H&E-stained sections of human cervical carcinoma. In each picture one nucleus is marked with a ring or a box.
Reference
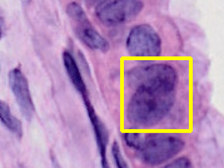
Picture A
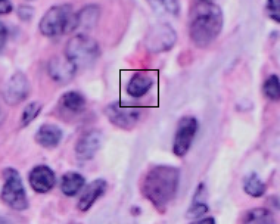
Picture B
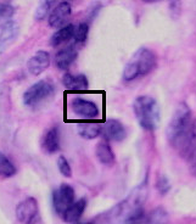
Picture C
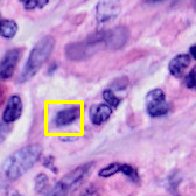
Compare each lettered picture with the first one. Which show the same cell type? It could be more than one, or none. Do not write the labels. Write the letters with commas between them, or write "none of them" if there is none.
none of them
